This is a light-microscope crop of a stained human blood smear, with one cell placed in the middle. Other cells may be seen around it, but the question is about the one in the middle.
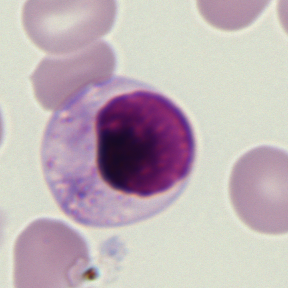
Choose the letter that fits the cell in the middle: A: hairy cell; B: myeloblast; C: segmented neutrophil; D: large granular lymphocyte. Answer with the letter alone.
D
